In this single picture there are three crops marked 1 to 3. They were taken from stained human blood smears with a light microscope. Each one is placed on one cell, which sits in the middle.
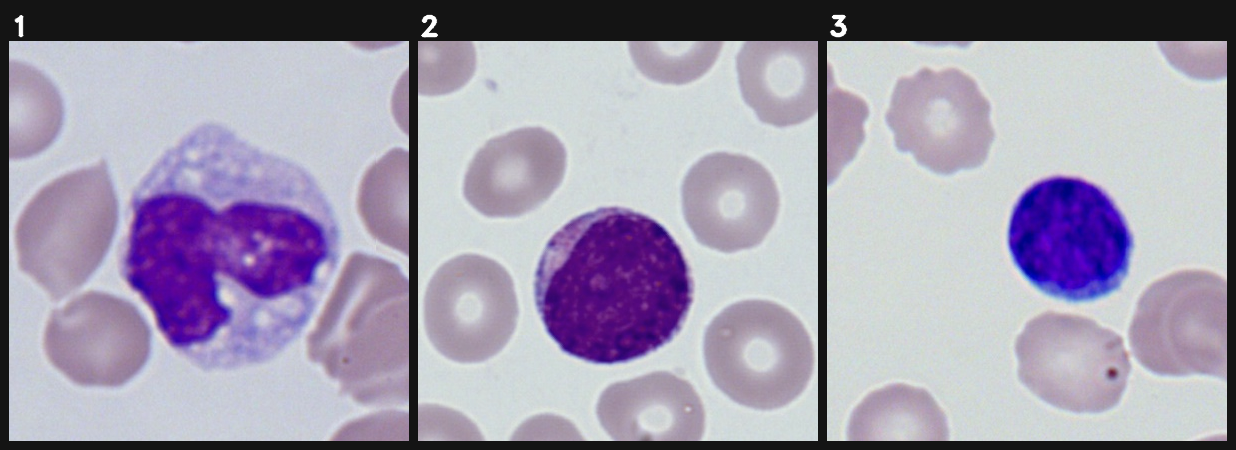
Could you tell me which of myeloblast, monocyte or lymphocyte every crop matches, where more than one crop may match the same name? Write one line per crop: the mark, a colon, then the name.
1: monocyte
2: myeloblast
3: lymphocyte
